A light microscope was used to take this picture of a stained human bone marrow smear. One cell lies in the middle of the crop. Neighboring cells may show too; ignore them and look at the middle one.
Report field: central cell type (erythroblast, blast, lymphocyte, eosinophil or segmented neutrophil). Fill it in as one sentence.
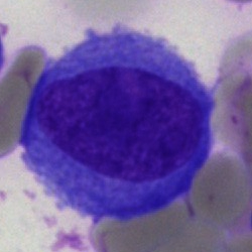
As for the central cell, it is a blast.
